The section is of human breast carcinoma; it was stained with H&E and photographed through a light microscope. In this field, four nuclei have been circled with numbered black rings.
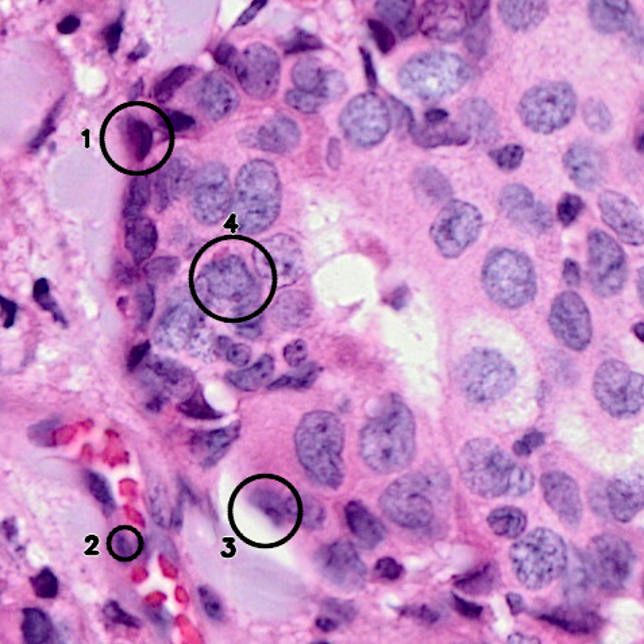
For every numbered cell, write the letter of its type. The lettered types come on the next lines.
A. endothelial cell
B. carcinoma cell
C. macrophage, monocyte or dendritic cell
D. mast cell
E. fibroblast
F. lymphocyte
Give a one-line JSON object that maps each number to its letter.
{"1": "B", "2": "A", "3": "B", "4": "B"}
